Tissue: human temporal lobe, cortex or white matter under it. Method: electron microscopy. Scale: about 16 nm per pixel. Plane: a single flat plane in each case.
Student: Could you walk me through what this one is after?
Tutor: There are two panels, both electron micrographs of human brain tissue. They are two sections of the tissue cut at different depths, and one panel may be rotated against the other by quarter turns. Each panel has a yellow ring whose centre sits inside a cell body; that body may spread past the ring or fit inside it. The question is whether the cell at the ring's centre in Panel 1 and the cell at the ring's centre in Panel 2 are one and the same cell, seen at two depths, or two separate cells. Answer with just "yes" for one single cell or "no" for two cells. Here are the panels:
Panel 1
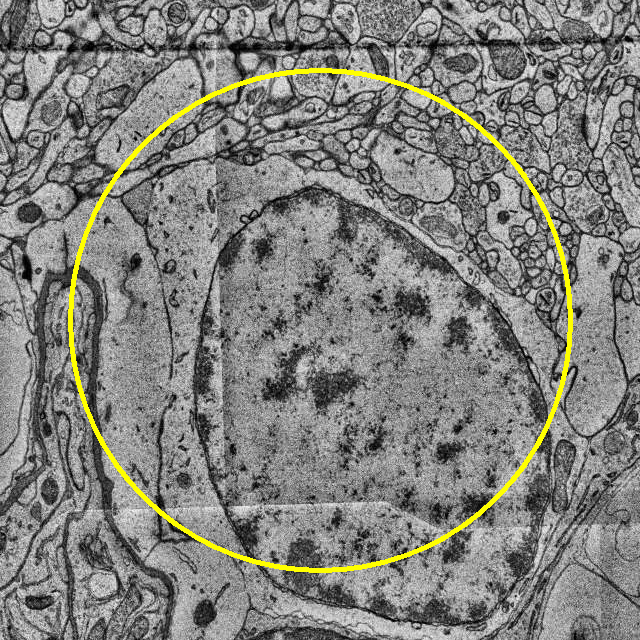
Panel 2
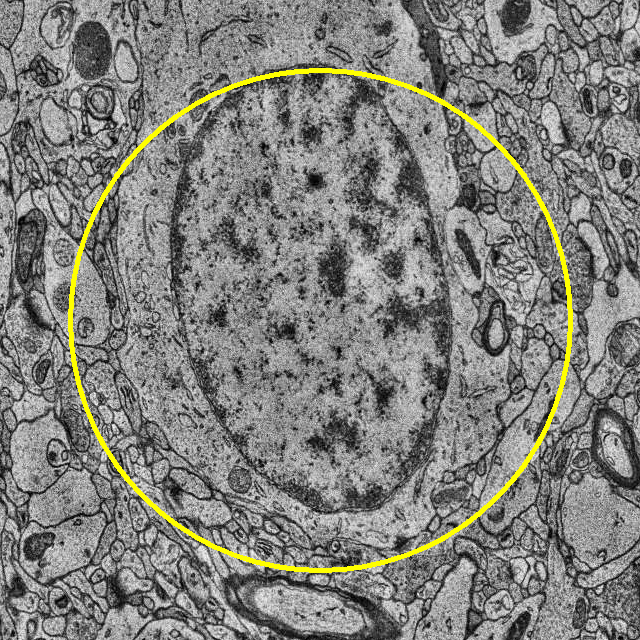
no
